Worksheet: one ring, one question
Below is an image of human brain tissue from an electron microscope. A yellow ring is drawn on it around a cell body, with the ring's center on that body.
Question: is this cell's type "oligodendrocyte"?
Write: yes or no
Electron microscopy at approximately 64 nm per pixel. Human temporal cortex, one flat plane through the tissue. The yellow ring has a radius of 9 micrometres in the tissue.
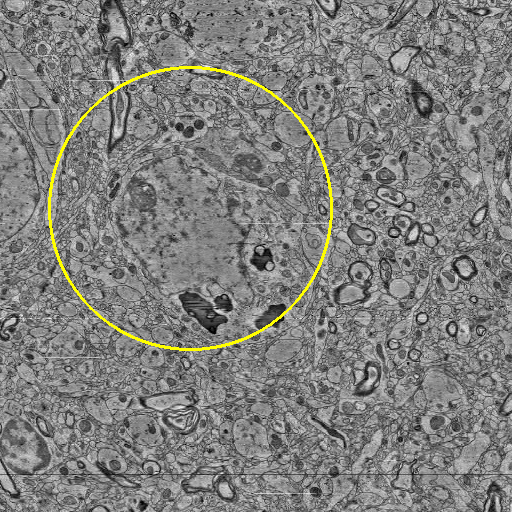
no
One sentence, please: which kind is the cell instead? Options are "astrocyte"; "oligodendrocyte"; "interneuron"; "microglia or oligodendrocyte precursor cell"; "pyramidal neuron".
The ring's central cell is an interneuron instead.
